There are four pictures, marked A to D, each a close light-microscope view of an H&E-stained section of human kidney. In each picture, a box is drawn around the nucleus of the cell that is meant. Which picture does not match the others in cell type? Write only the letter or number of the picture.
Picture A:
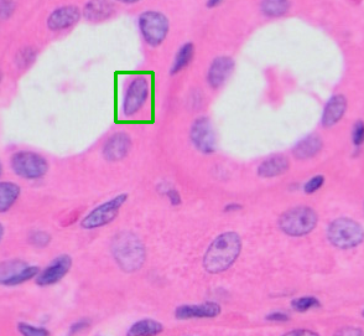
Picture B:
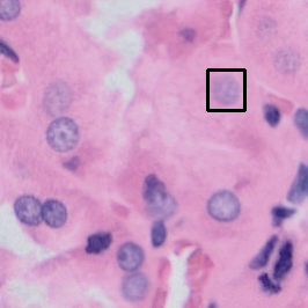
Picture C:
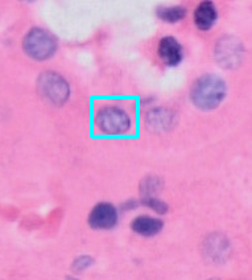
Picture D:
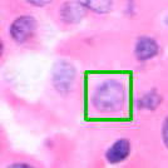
B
